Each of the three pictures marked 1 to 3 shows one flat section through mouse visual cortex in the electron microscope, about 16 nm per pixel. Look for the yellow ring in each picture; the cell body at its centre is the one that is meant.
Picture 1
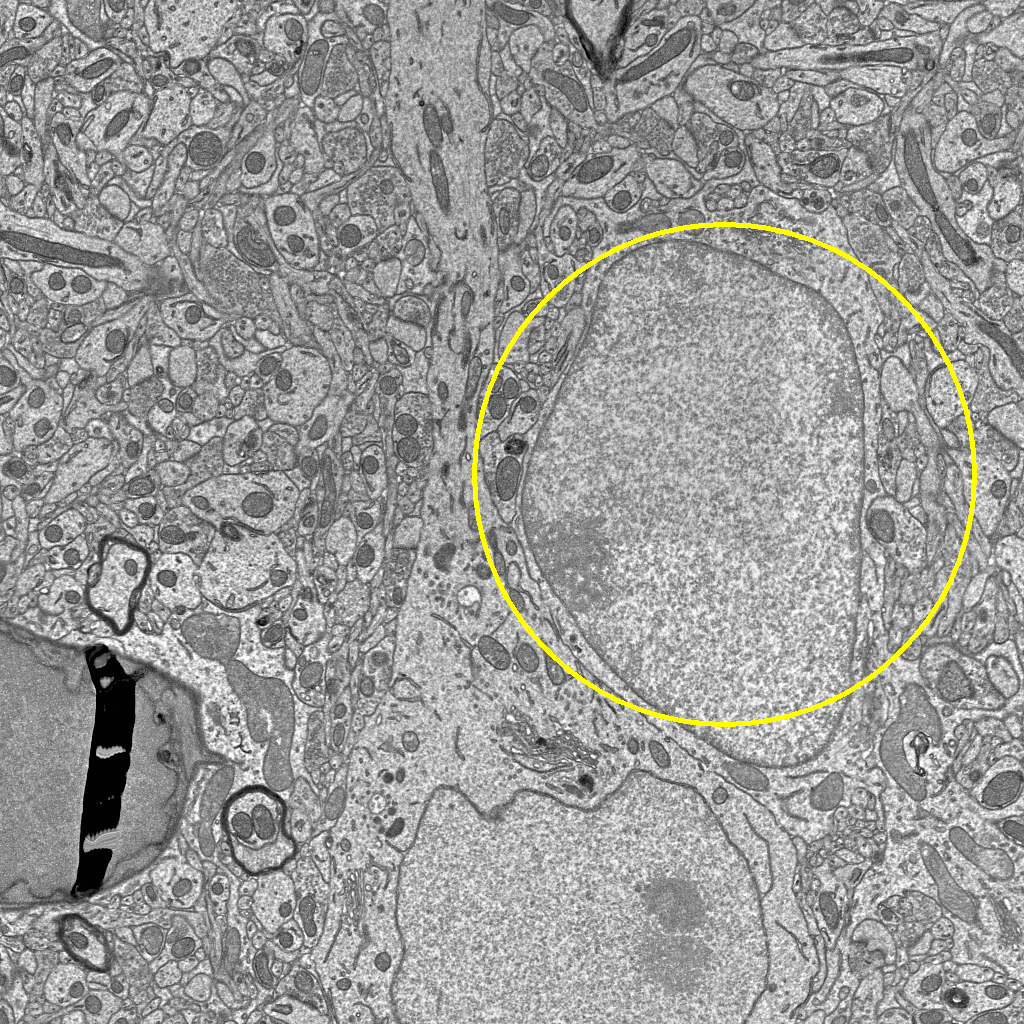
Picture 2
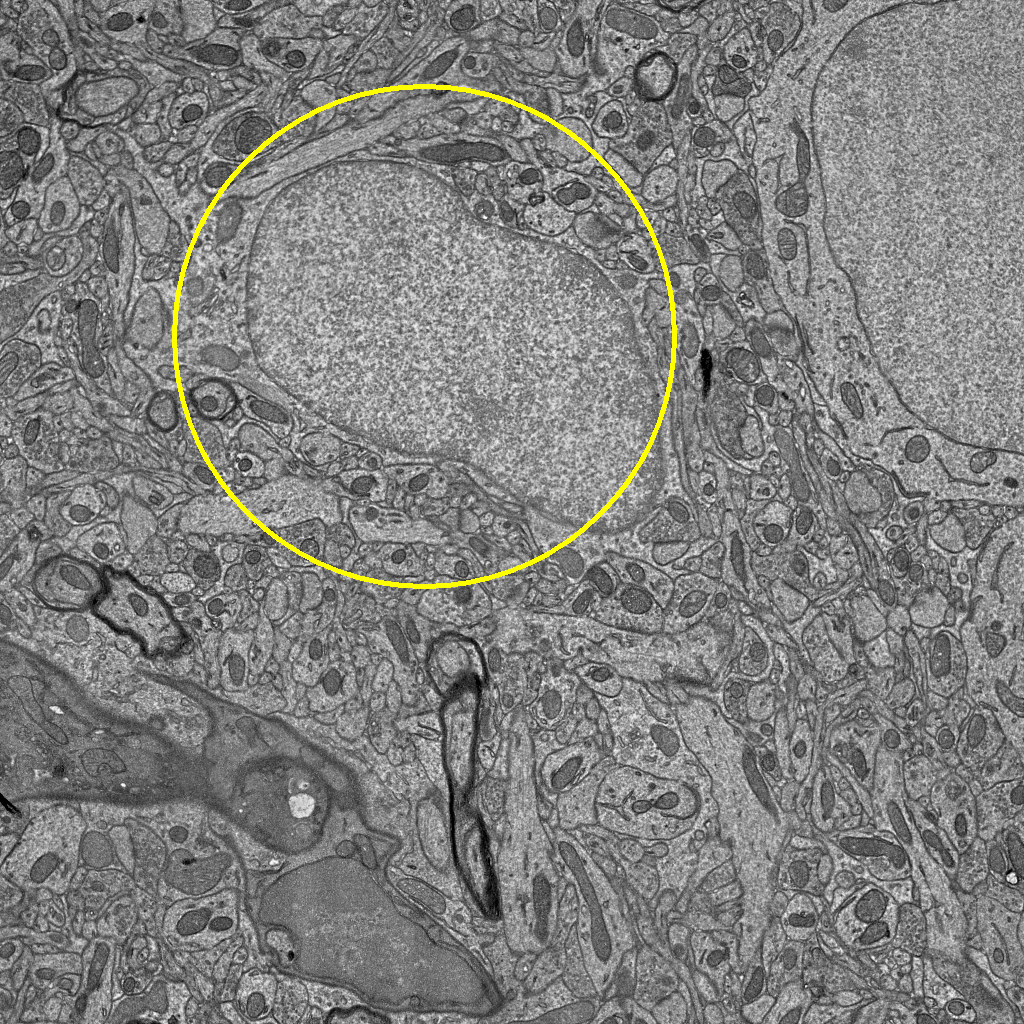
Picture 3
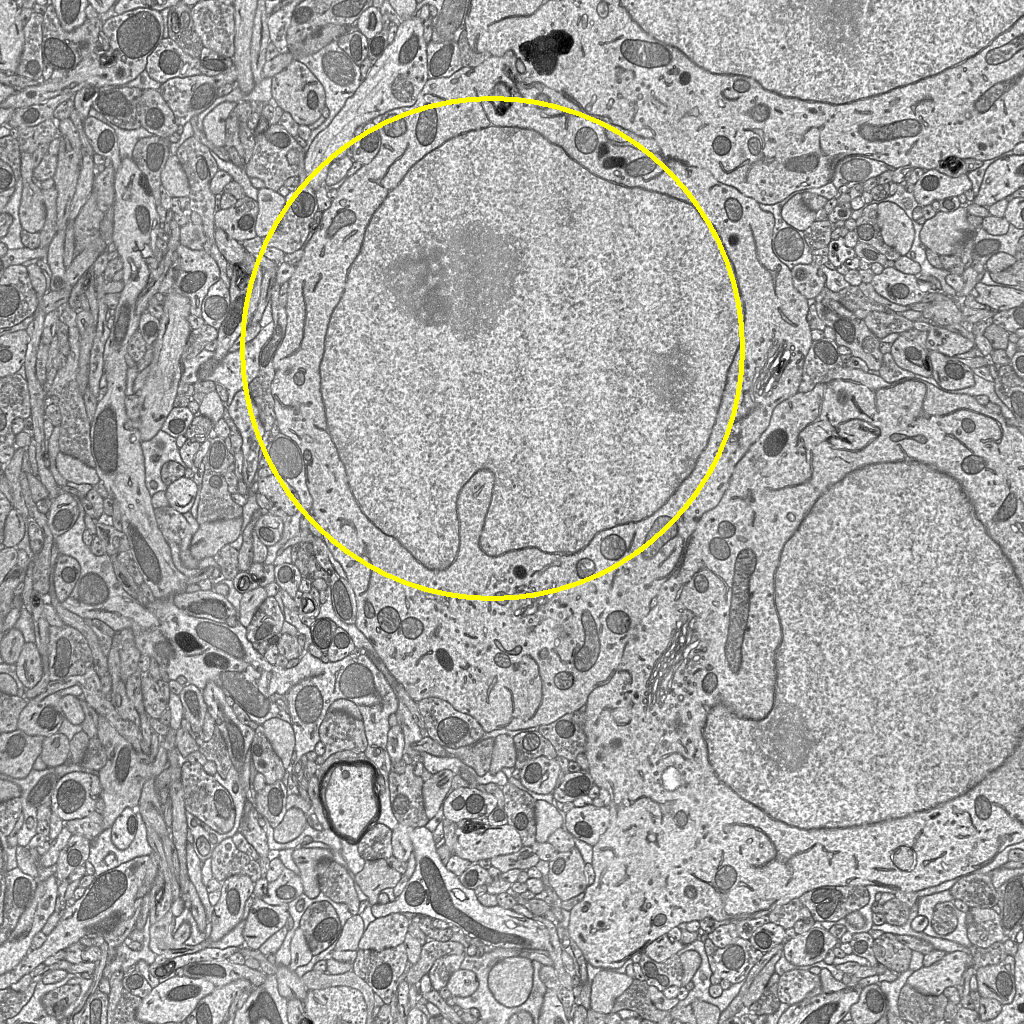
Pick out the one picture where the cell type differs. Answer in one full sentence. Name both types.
Picture 3 is the odd one out: it shows an excitatory neuron, while the others show astrocytes.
